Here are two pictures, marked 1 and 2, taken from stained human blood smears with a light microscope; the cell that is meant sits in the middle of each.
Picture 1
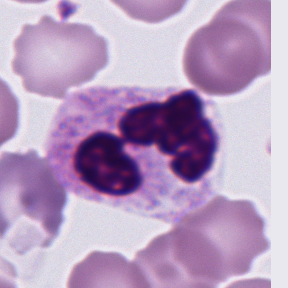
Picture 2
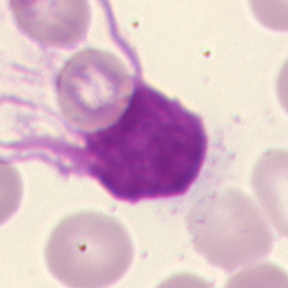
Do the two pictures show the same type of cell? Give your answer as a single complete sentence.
No, picture 1 shows a segmented neutrophil and picture 2 shows a smudge cell.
